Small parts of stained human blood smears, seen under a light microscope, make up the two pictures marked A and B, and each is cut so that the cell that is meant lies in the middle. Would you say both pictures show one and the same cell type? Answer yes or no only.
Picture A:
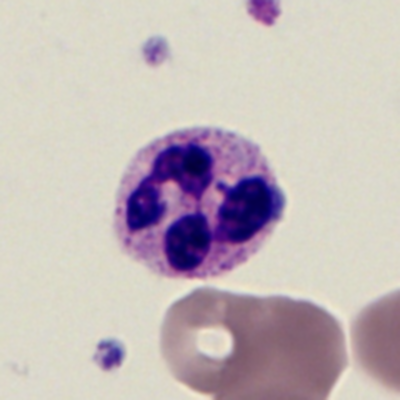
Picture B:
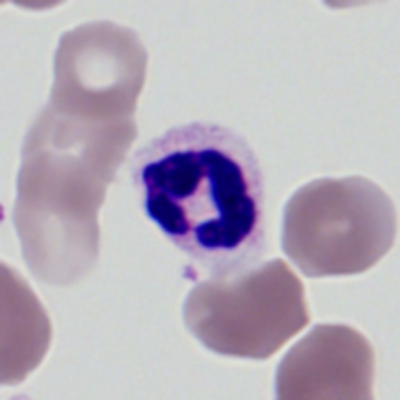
yes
